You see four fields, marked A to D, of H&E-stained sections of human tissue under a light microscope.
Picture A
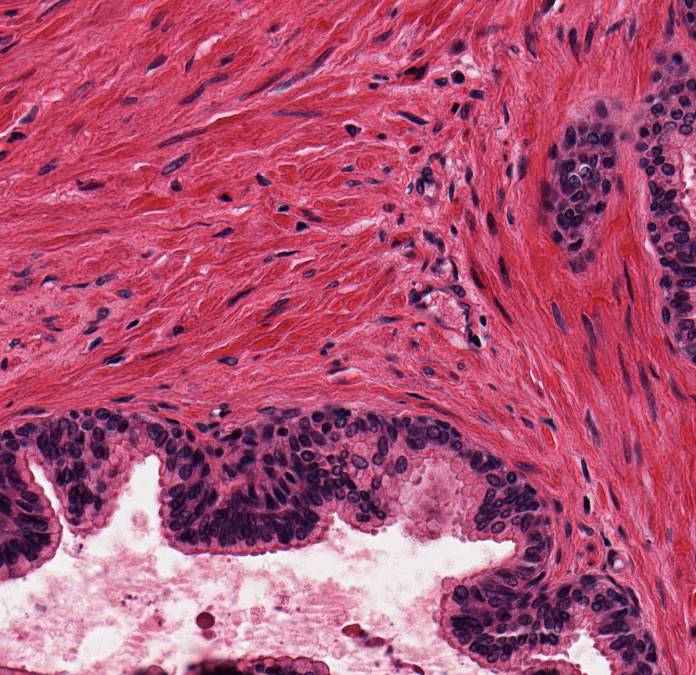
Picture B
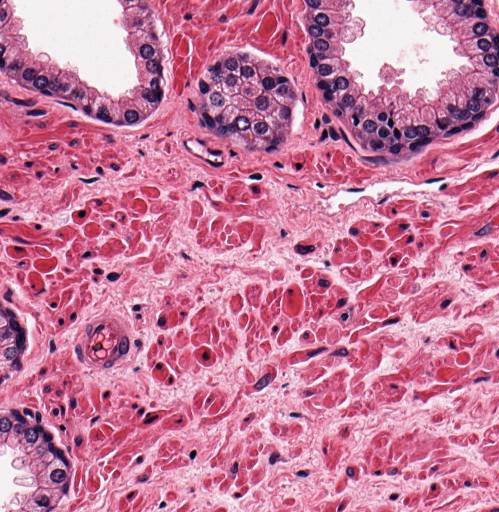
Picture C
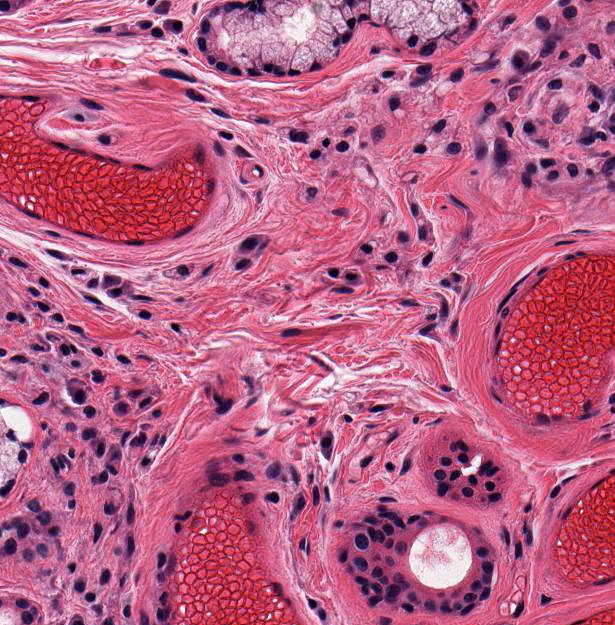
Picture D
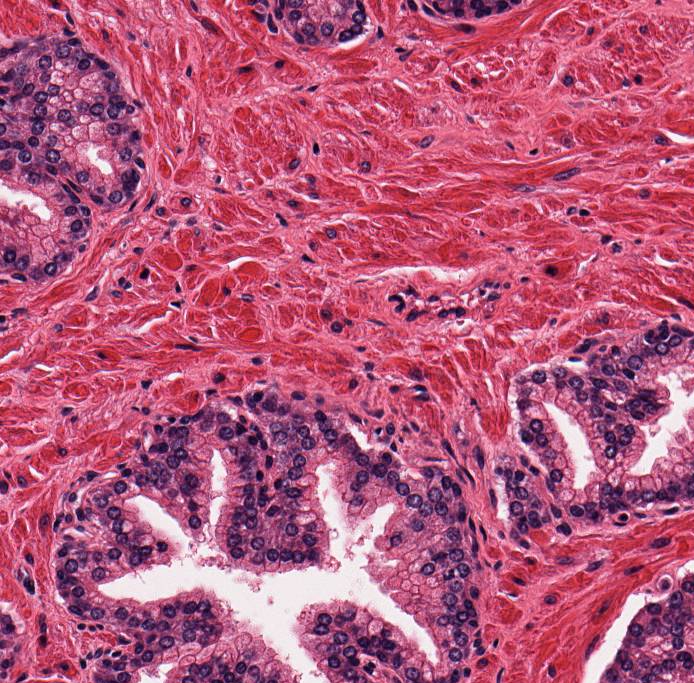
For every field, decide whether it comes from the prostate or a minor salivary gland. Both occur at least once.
A: prostate
B: prostate
C: minor salivary gland
D: prostate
